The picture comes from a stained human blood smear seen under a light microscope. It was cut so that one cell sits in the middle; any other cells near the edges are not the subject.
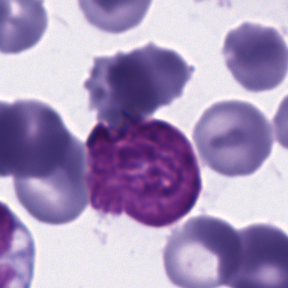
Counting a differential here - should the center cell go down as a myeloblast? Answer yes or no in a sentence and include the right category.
No, the central cell does not represent a myeloblast, but a smudge cell.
